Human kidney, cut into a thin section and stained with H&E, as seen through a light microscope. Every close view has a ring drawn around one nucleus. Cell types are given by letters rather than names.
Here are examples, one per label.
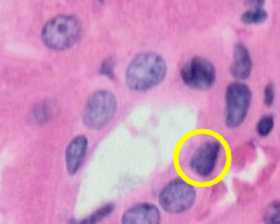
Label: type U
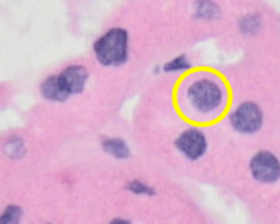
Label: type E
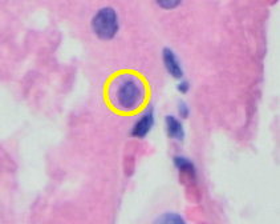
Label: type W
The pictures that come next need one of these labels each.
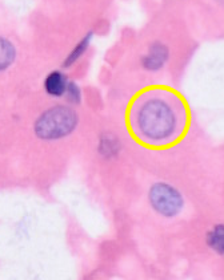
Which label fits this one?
type W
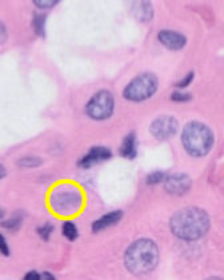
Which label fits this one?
type U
